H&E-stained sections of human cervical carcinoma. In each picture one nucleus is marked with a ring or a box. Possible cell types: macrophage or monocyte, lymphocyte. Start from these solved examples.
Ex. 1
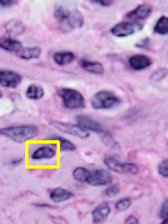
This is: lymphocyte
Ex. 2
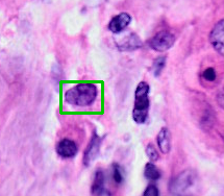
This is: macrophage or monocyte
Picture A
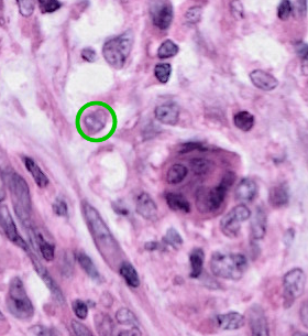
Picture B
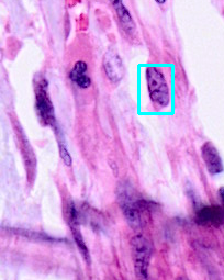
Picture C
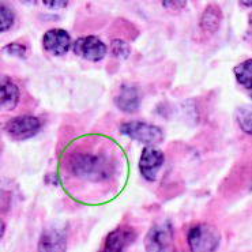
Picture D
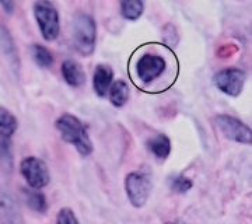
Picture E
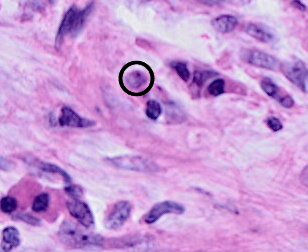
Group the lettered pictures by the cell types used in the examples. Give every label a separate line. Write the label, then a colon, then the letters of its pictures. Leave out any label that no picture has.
macrophage or monocyte: A, B, C, E
lymphocyte: D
